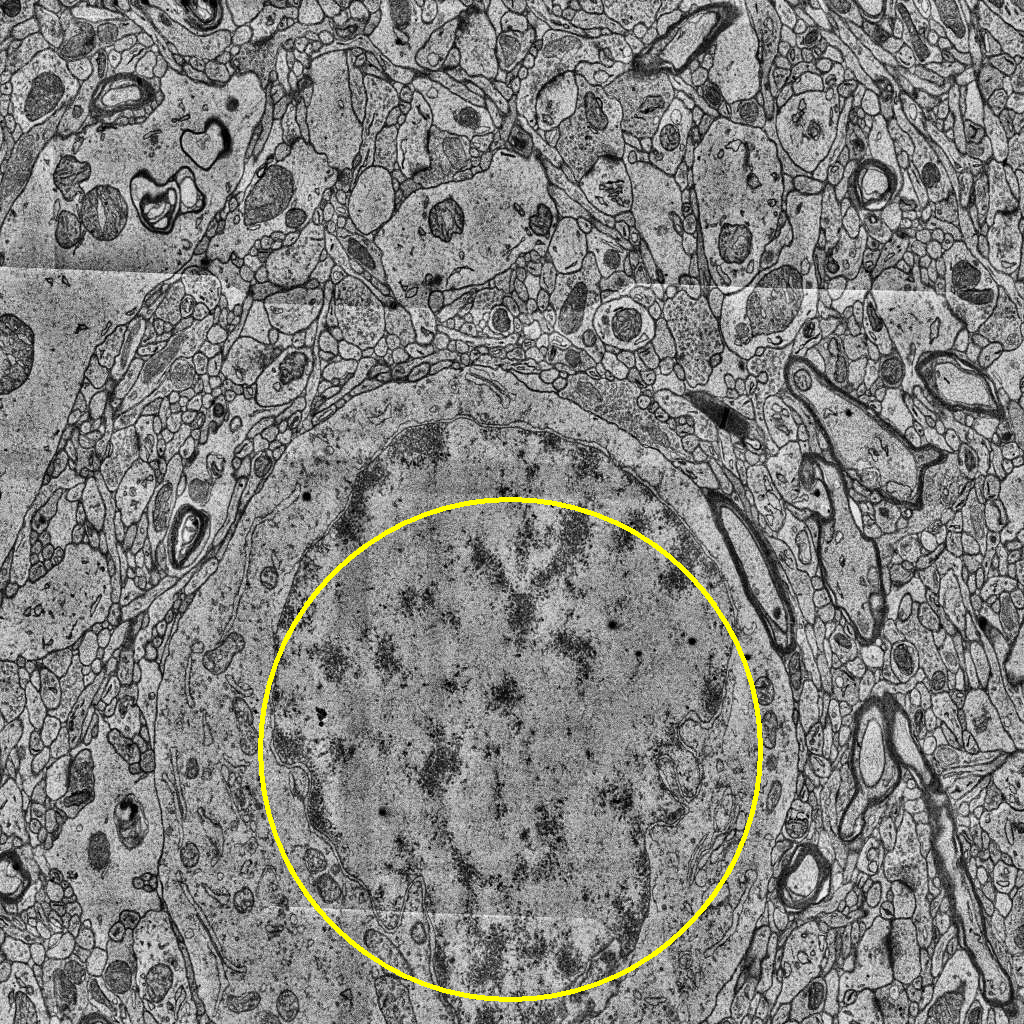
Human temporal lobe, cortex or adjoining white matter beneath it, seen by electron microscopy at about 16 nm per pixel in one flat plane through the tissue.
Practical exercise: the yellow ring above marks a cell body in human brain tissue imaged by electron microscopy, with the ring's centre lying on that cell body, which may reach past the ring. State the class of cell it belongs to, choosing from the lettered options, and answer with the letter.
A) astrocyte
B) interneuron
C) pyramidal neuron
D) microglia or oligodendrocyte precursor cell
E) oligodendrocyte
B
